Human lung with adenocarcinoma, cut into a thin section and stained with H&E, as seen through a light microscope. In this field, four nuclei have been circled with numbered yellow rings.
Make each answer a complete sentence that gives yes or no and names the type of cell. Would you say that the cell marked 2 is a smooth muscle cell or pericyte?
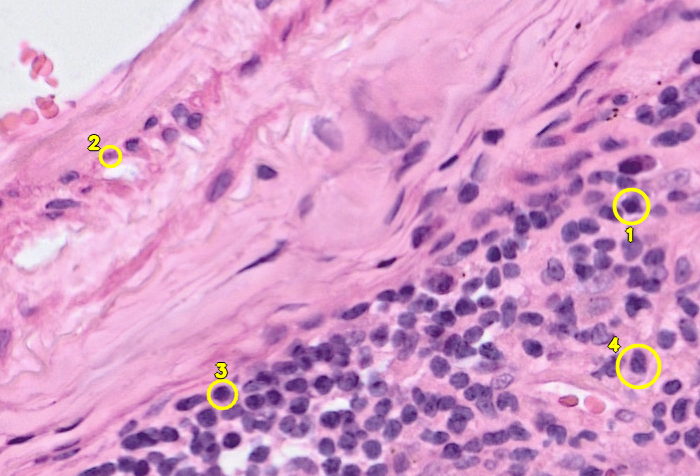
Yes, the cell with the mark numbered 2 is a smooth muscle cell or pericyte.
